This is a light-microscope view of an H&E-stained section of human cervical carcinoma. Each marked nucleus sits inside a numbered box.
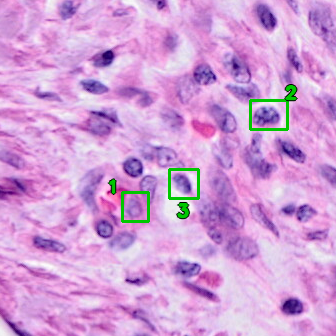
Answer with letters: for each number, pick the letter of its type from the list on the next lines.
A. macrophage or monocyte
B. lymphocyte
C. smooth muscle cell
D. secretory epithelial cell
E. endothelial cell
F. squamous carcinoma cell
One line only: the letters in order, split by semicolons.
E; B; B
